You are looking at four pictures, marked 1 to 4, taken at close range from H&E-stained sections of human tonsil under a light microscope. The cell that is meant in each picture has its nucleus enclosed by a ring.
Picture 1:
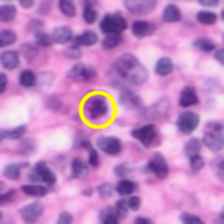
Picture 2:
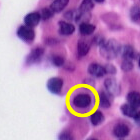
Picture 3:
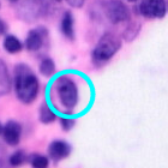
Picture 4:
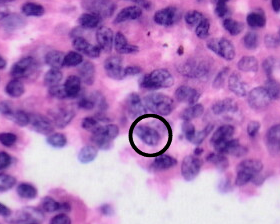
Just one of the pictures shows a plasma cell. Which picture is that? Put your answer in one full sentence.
The picture with the plasma cell is 2.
